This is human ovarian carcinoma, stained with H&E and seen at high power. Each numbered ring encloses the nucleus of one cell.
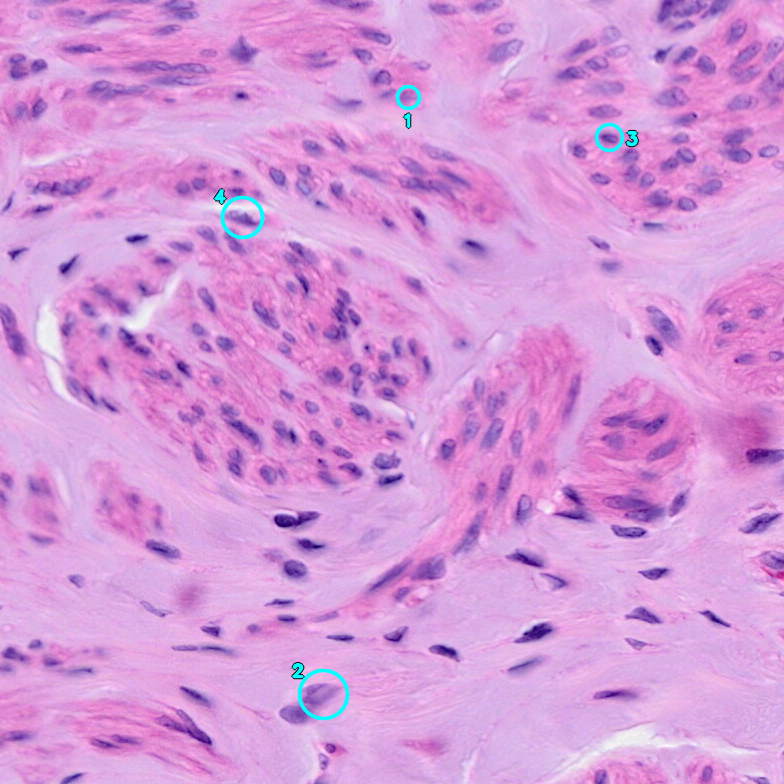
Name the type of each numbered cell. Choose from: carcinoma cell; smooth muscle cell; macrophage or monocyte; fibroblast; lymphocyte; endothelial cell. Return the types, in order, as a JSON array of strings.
["smooth muscle cell", "fibroblast", "smooth muscle cell", "smooth muscle cell"]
